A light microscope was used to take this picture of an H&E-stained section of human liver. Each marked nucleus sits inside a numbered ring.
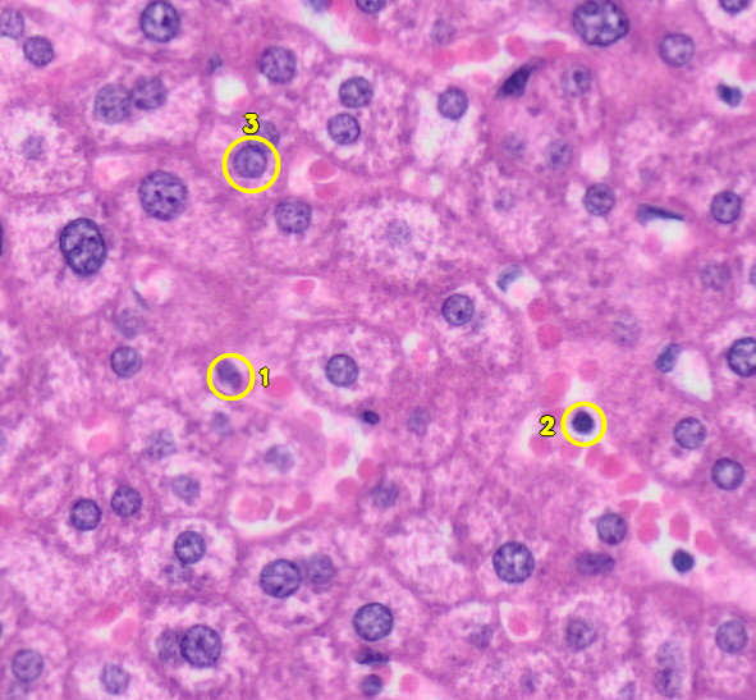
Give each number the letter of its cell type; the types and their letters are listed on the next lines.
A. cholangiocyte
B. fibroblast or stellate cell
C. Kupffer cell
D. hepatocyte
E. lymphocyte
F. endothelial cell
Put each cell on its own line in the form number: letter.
1: C
2: E
3: D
